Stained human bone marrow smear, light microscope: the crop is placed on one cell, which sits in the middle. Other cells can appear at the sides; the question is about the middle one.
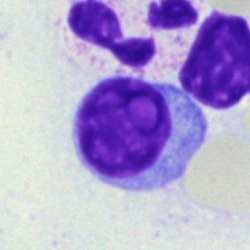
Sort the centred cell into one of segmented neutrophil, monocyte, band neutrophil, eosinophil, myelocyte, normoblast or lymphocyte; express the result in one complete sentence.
The center cell of this crop is a lymphocyte.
